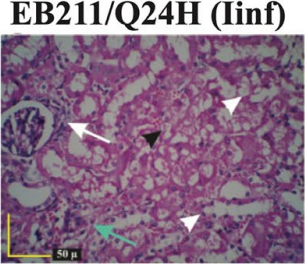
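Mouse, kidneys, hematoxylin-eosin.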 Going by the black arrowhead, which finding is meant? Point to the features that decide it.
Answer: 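Tubular necrosis. The marked tubule has lost clear epithelial outlines and nuclei. Its lining appears disrupted and pale.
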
